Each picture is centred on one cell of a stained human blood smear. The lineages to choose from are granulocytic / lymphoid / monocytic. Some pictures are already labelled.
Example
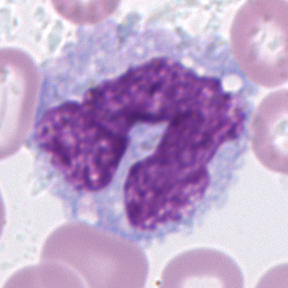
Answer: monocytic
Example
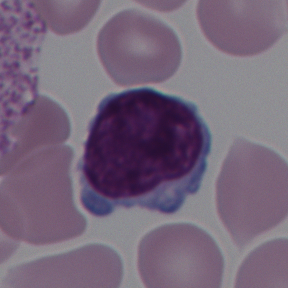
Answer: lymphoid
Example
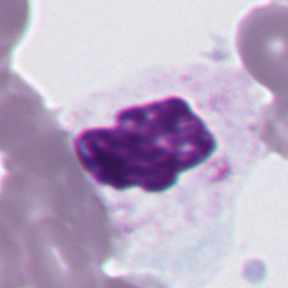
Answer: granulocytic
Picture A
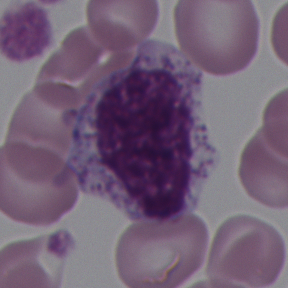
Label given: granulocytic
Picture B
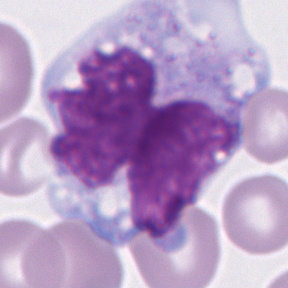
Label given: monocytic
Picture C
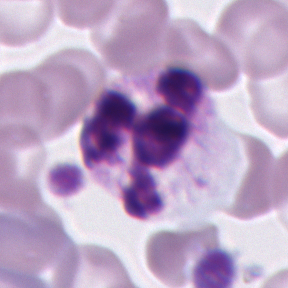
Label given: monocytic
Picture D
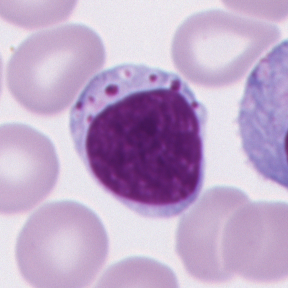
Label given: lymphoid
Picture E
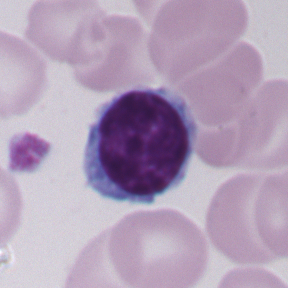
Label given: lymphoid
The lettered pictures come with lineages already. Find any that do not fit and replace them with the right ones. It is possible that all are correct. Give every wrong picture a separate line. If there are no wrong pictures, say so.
C: granulocytic, not monocytic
